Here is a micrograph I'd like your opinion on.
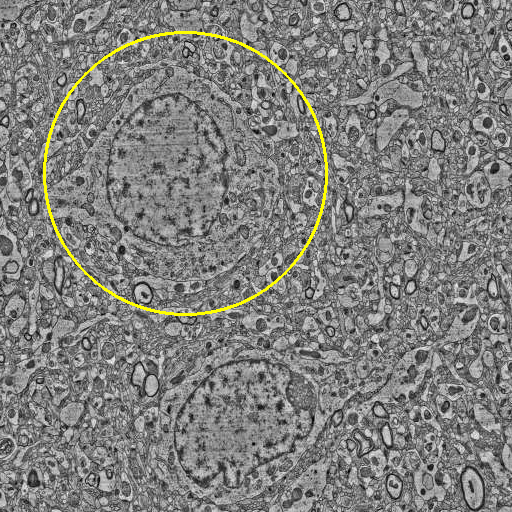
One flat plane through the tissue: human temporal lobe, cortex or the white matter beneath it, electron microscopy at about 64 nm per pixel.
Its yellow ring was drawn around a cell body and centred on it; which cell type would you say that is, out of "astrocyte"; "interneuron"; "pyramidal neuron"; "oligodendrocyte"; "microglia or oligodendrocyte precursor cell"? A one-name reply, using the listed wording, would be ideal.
interneuron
